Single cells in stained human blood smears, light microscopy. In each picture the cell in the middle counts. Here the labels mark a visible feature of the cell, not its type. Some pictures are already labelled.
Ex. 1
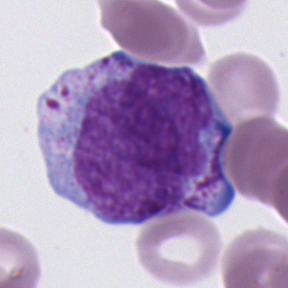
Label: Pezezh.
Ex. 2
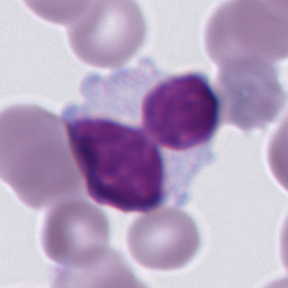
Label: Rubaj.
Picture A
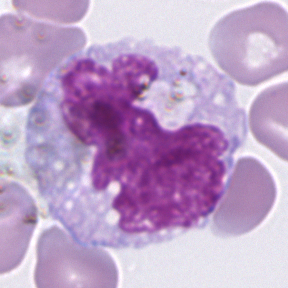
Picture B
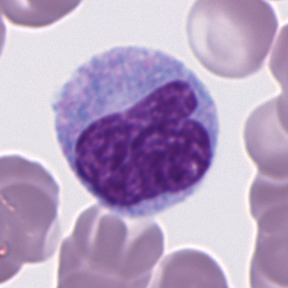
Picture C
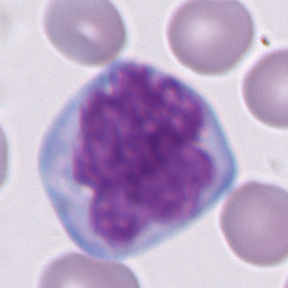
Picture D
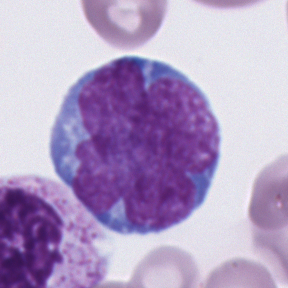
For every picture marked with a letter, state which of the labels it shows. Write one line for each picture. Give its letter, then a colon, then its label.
A: Rubaj.
B: Rubaj.
C: Rubaj.
D: Rubaj.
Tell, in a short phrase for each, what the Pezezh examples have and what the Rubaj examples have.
Seen in Pezezh: single compact nucleus; seen in Rubaj: lobed nucleus.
